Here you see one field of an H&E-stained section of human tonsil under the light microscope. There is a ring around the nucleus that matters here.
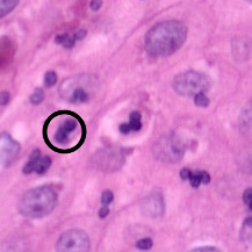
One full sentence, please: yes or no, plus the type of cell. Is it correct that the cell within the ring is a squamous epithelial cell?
Yes, where cell type is concerned, the cell within the ring is a squamous epithelial cell.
